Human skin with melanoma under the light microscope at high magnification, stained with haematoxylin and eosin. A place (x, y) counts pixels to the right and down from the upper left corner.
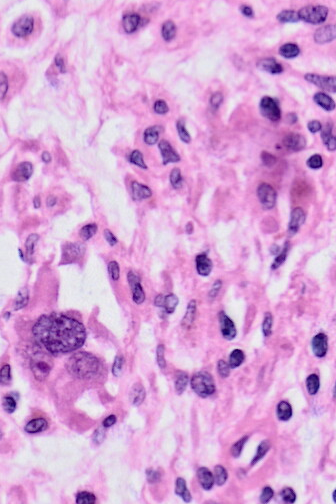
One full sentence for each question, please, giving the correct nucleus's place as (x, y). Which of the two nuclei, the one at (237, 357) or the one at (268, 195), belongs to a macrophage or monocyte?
Lying within a macrophage or monocyte is the nucleus at (268, 195).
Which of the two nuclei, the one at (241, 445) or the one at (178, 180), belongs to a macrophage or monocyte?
The cell to which the nucleus at (178, 180) belongs is a macrophage or monocyte.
